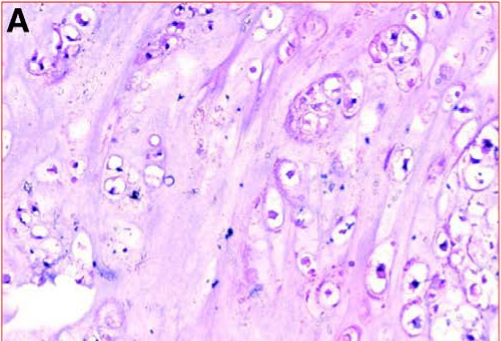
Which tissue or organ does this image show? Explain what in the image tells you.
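Pale pink-violet, glassy matrix fills most of the field. The cells lie within this matrix in lacuna-like spaces.
Chondroid stroma.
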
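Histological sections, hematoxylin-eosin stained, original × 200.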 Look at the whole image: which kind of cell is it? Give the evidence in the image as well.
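Cells sit singly and in small clusters inside clear rounded spaces like lacunae. Nuclei are dark and irregular, and vary in size and shape. Some lacunae hold two or more cells. So: atypical chondrocytes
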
